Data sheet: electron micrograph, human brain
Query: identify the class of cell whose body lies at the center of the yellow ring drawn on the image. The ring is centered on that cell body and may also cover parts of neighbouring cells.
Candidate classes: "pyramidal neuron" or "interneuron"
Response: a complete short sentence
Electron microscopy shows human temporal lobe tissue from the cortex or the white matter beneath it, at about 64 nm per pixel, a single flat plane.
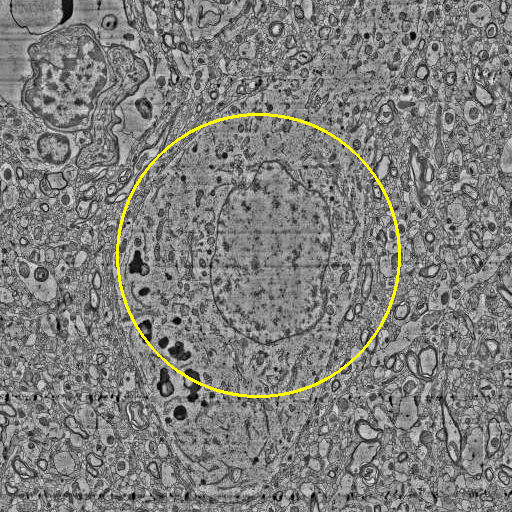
At the center of the ring lies a pyramidal neuron.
